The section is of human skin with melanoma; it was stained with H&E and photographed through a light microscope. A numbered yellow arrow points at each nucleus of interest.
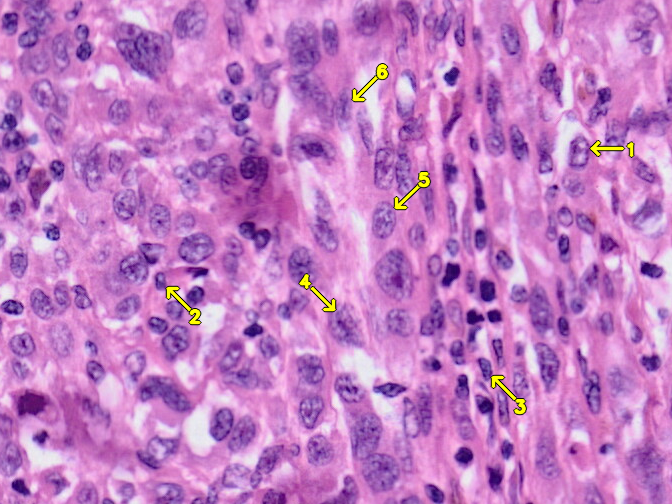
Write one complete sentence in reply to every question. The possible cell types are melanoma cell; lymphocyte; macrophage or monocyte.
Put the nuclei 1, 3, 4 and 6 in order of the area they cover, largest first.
Largest first, the order by area is 4, 1, 6, 3.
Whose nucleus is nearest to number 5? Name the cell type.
The nucleus nearest to number 5 is that of a macrophage or monocyte.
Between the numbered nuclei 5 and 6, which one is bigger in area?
Of the two, number 5 is bigger and takes up about 1.5 times the area of number 6.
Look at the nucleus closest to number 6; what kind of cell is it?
Number 6 lies closest to the nucleus of a melanoma cell.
